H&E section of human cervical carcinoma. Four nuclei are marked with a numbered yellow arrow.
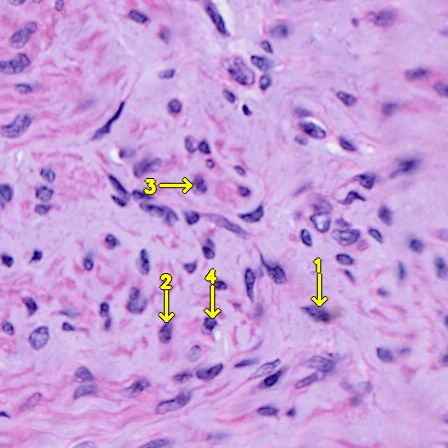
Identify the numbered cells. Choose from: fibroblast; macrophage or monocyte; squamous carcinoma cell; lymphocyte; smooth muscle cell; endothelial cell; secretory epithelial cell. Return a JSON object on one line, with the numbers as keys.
{"1": "fibroblast", "2": "smooth muscle cell", "3": "smooth muscle cell", "4": "smooth muscle cell"}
